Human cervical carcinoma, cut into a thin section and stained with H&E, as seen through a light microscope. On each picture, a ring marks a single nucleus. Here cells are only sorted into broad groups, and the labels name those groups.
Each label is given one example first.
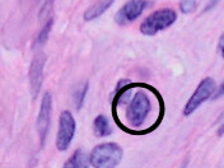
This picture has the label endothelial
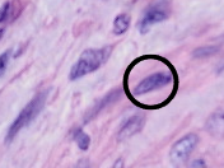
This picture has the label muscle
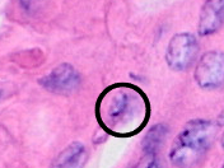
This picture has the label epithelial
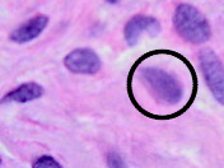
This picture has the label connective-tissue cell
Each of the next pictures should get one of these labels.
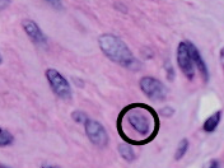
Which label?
muscle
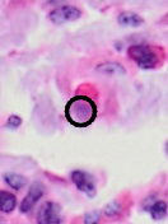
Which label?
endothelial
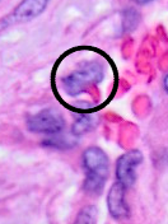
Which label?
endothelial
